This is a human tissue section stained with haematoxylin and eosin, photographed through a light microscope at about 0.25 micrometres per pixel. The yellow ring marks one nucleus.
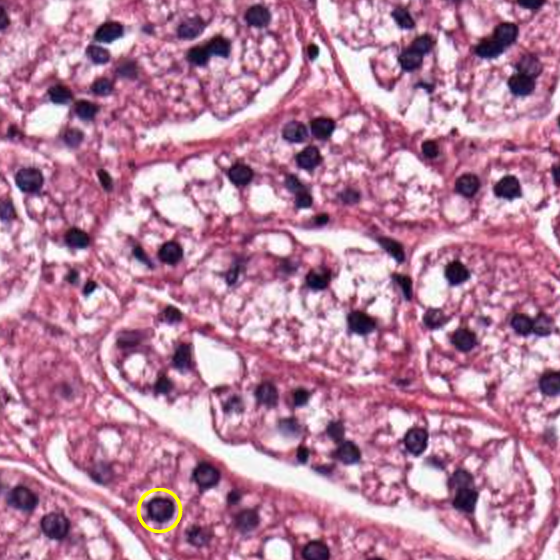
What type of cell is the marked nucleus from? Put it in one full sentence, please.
The cell that the marked nucleus belongs to is an adrenal cortical cell.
